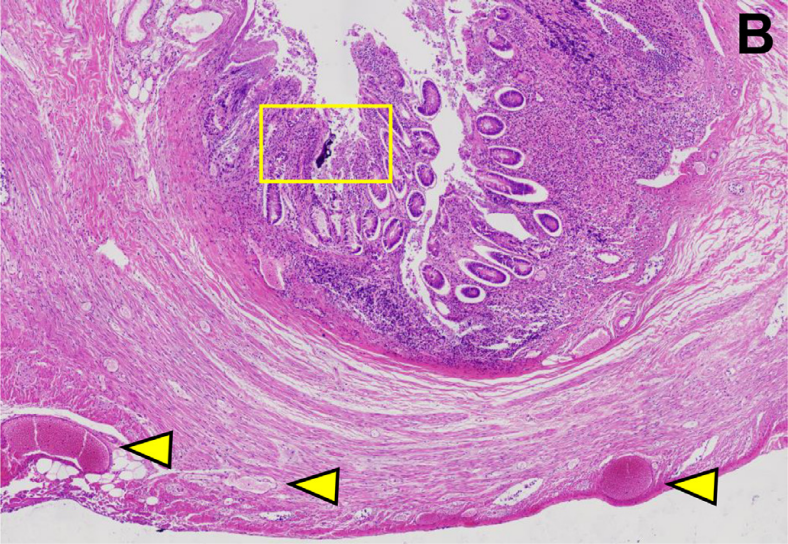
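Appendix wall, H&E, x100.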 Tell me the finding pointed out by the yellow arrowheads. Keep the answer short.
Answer: Vessels congested.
